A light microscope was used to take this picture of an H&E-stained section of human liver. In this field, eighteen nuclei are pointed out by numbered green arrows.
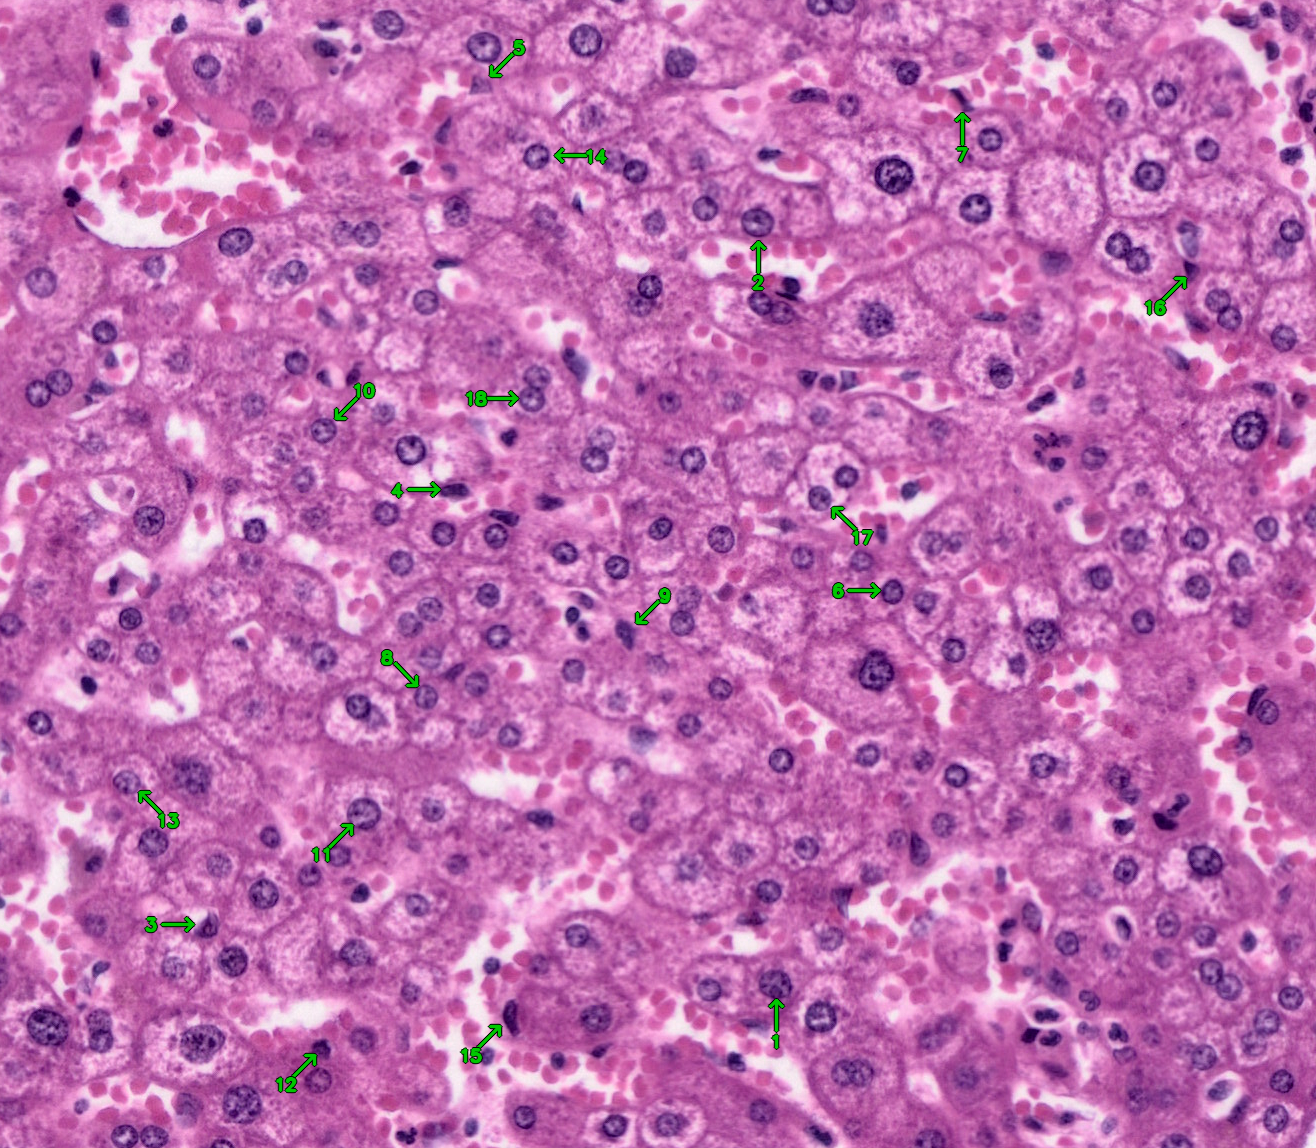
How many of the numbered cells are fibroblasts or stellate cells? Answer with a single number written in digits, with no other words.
4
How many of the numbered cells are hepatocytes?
10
